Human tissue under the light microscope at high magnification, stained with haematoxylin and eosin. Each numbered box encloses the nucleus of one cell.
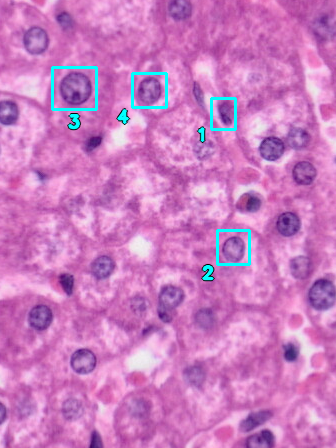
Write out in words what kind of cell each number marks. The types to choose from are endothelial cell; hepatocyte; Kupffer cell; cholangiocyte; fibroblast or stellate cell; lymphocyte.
Cell 1 is a Kupffer cell. Cells 2, 3 and 4 are hepatocytes.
